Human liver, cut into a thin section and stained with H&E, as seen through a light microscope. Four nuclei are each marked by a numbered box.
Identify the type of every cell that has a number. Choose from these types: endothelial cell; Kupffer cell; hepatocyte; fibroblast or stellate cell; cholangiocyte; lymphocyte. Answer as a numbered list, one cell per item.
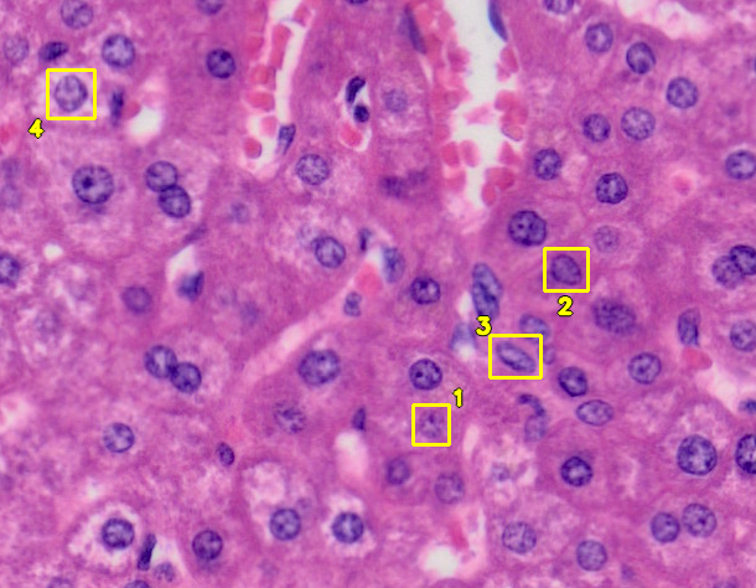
1. hepatocyte
2. hepatocyte
3. cholangiocyte
4. hepatocyte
